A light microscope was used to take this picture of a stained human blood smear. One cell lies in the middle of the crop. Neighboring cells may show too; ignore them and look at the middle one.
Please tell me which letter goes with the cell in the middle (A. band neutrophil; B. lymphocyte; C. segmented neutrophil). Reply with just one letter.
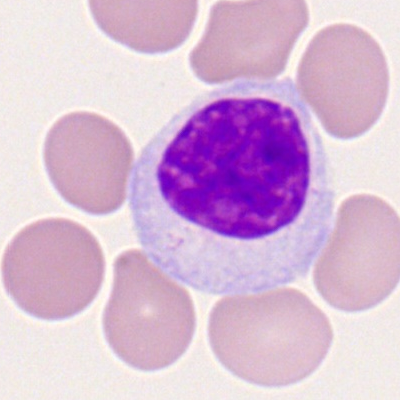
B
